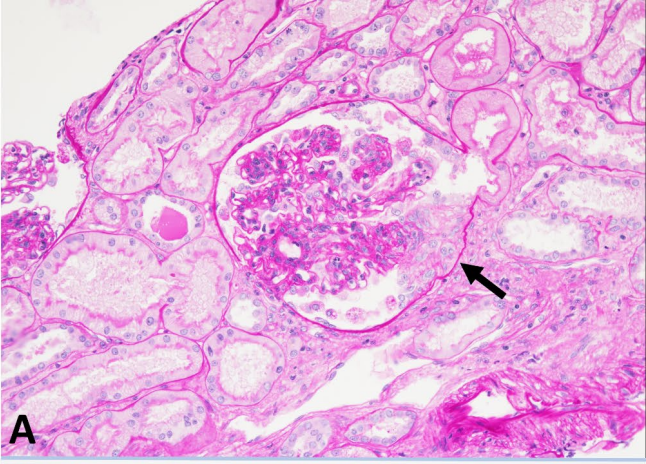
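This is kidney cortex with one glomerulus at the centre, surrounded by proximal tubules cut across, their cells with pink cytoplasm and round nuclei. The glomerular tuft is crowded with nuclei and its capillary loops have thick magenta walls. Between the tubules lies a little interstitium, and a small artery with a thick wall is seen at the lower right. One tubule at the left holds a dense pink cast.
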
